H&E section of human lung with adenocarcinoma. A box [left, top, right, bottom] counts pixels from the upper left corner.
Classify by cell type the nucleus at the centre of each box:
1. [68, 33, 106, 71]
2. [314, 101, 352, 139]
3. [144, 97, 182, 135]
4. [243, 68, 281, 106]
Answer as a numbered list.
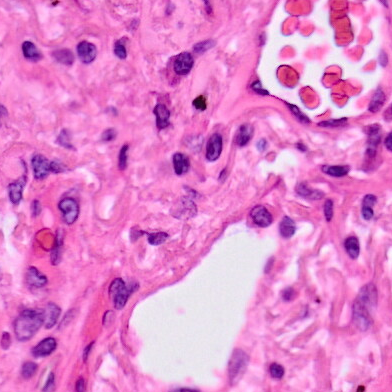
1. lymphocyte
2. endothelial cell
3. plasma cell
4. endothelial cell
